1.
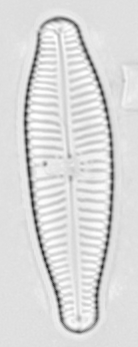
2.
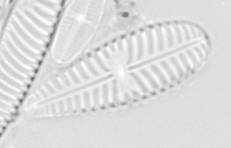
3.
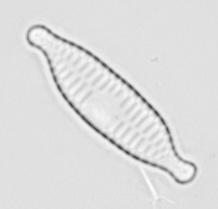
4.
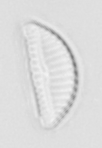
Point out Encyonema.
That is picture 4.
